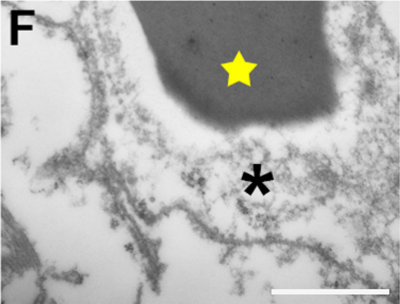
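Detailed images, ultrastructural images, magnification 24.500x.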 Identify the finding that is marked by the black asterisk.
Destruction of the vessel wall.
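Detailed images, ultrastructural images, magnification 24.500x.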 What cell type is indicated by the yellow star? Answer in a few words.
erythrocyte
